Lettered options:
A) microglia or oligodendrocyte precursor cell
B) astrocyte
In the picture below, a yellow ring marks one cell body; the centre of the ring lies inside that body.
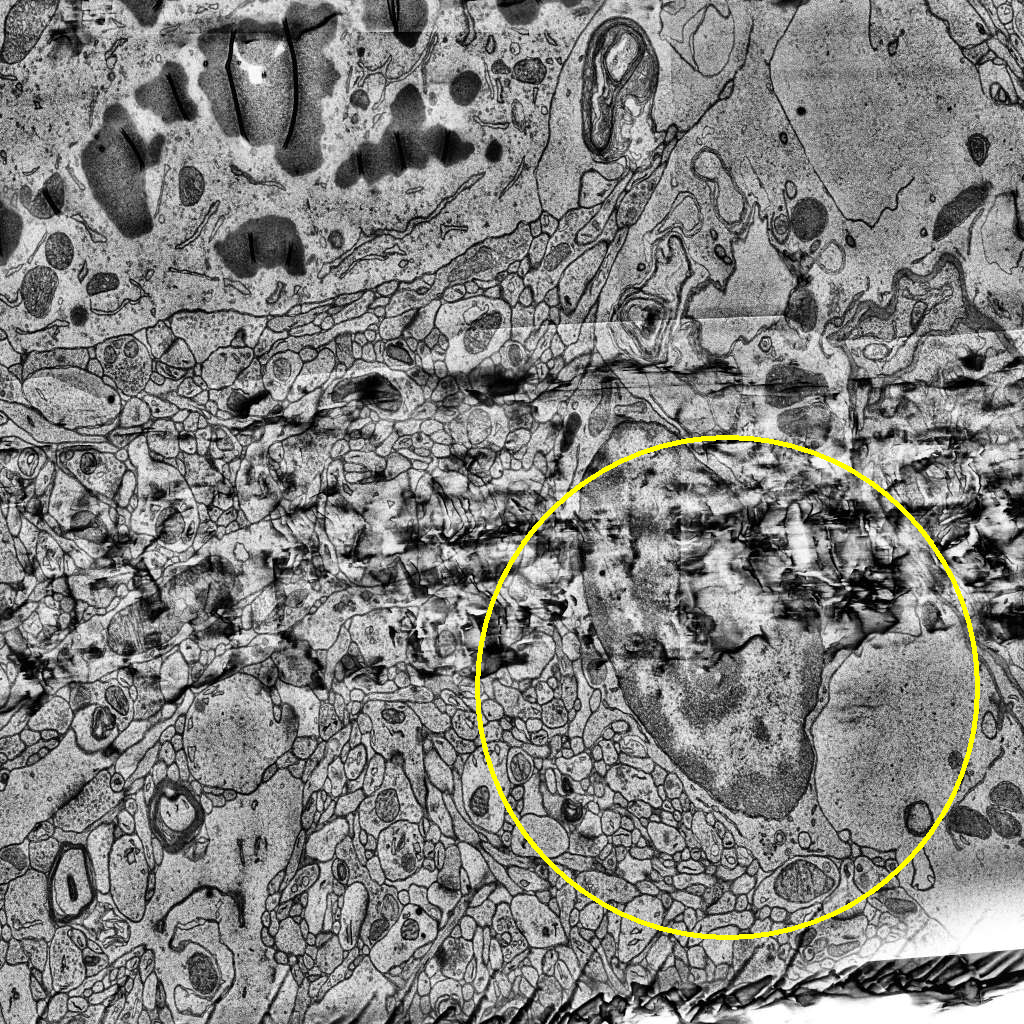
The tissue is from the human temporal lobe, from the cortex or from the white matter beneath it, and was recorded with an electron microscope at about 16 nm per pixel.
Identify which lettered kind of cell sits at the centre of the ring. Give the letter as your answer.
A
